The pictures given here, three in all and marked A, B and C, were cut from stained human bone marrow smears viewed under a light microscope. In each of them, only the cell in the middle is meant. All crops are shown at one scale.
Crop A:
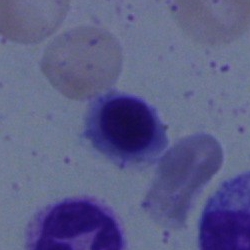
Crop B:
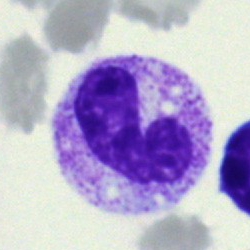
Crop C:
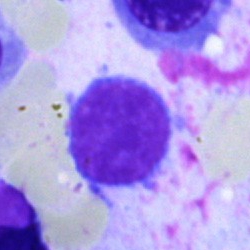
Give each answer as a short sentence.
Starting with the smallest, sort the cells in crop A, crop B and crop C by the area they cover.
Smallest first: A, C, B.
